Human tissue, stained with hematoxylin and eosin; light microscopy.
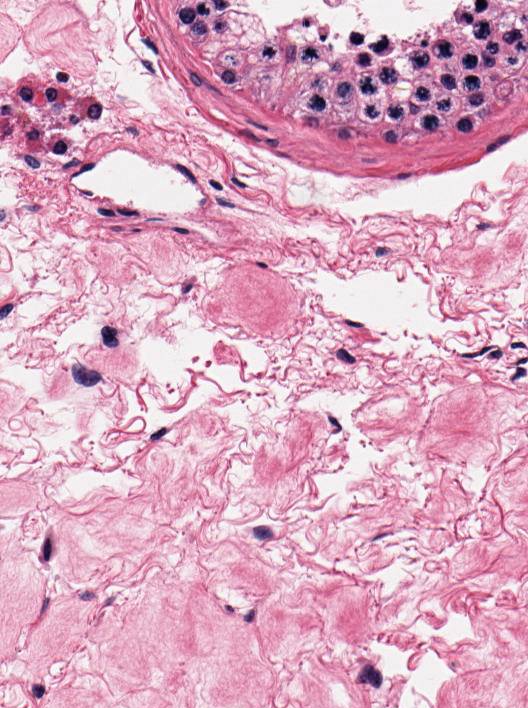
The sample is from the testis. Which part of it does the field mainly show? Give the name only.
loose connective tissue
